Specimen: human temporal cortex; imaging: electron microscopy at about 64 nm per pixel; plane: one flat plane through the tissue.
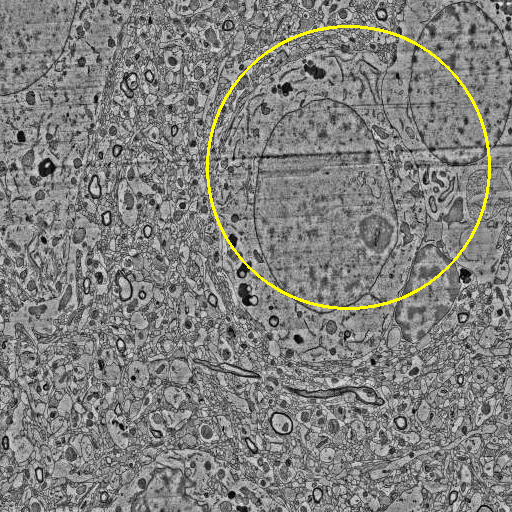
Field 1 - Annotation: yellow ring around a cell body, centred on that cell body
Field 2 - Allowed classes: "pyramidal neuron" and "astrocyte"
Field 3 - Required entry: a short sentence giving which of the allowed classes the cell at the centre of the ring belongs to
The centred cell is a pyramidal neuron.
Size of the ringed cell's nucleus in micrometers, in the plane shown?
Roughly 14 micrometres by 9 micrometres, in this plane.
